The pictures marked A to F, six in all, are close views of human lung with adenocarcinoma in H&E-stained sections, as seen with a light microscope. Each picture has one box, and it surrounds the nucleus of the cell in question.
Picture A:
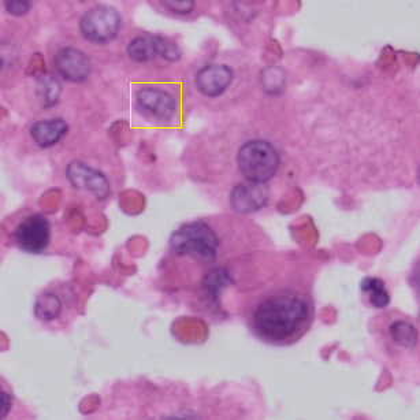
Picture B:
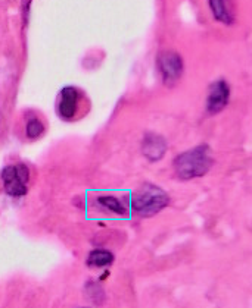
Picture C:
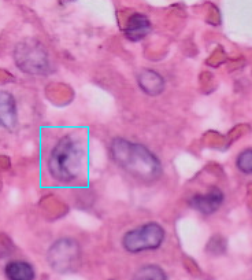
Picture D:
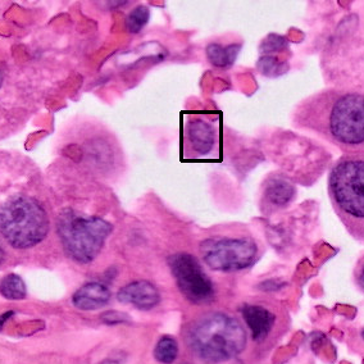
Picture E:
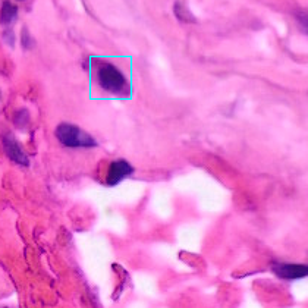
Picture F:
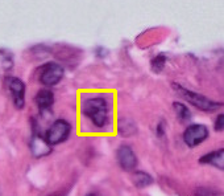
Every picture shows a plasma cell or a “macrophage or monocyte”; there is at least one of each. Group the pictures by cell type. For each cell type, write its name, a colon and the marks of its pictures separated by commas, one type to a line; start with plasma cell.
plasma cell: B, E, F
macrophage or monocyte: A, C, D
